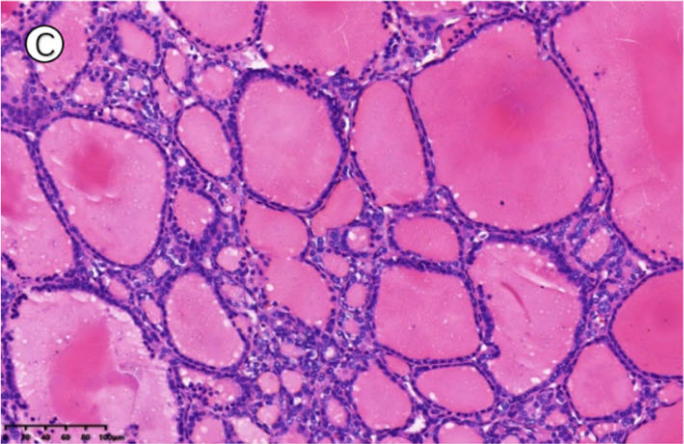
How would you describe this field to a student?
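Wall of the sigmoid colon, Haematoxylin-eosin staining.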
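Thyroid follicles are seen, rounded to polygonal spaces filled with pink colloid, some with a deeper pink centre and small pale vacuoles at the edges. Each follicle is lined by a single layer of low epithelial cells with uniform, bland, round dark nuclei and pink cytoplasm. The follicles lie closely packed, separated by thin strands of tissue and small groups of cells.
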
